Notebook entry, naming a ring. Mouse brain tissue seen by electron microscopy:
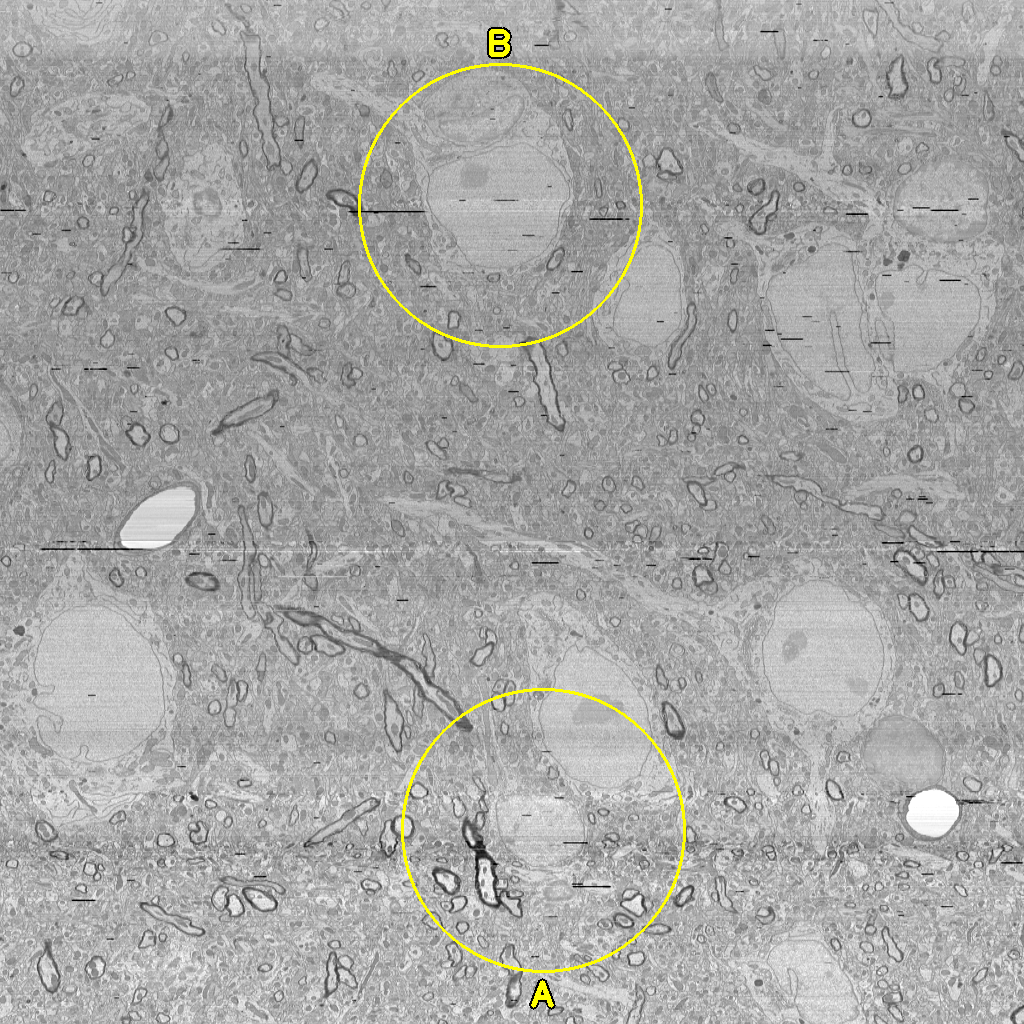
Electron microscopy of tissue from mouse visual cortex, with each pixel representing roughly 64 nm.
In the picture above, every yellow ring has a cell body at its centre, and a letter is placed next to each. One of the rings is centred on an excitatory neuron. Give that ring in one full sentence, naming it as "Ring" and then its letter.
Ring B is the ring whose centre holds the cell asked for.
